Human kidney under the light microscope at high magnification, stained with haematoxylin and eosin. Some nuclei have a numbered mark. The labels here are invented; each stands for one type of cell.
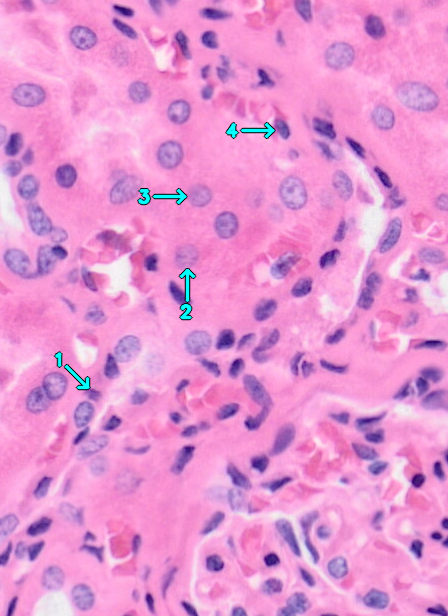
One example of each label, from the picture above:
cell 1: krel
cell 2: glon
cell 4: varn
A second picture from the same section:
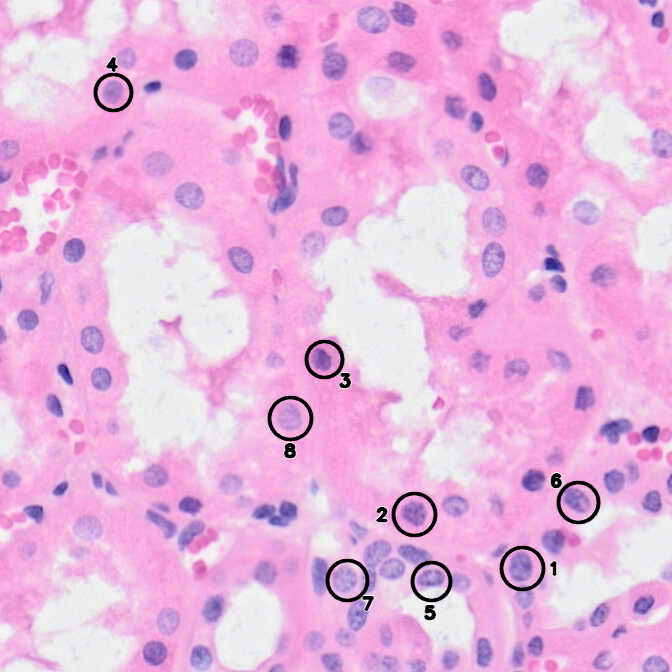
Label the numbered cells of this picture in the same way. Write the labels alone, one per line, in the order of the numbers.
krel
glon
glon
glon
krel
krel
krel
glon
